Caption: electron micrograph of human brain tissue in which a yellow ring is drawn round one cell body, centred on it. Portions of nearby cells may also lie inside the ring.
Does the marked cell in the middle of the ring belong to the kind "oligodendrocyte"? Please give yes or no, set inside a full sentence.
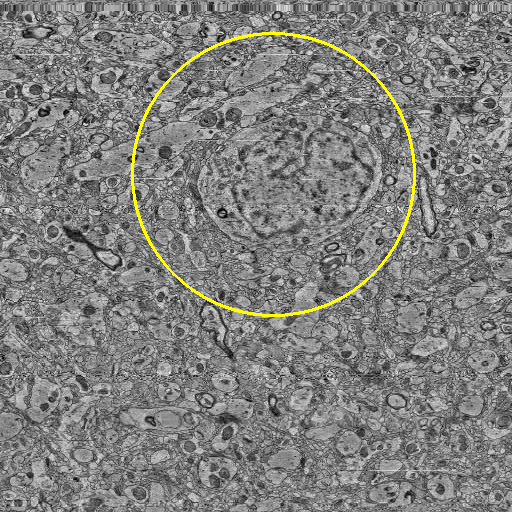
No, the marked cell that the ring is centred on in the picture is of another kind.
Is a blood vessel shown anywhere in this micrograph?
No, none appears.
